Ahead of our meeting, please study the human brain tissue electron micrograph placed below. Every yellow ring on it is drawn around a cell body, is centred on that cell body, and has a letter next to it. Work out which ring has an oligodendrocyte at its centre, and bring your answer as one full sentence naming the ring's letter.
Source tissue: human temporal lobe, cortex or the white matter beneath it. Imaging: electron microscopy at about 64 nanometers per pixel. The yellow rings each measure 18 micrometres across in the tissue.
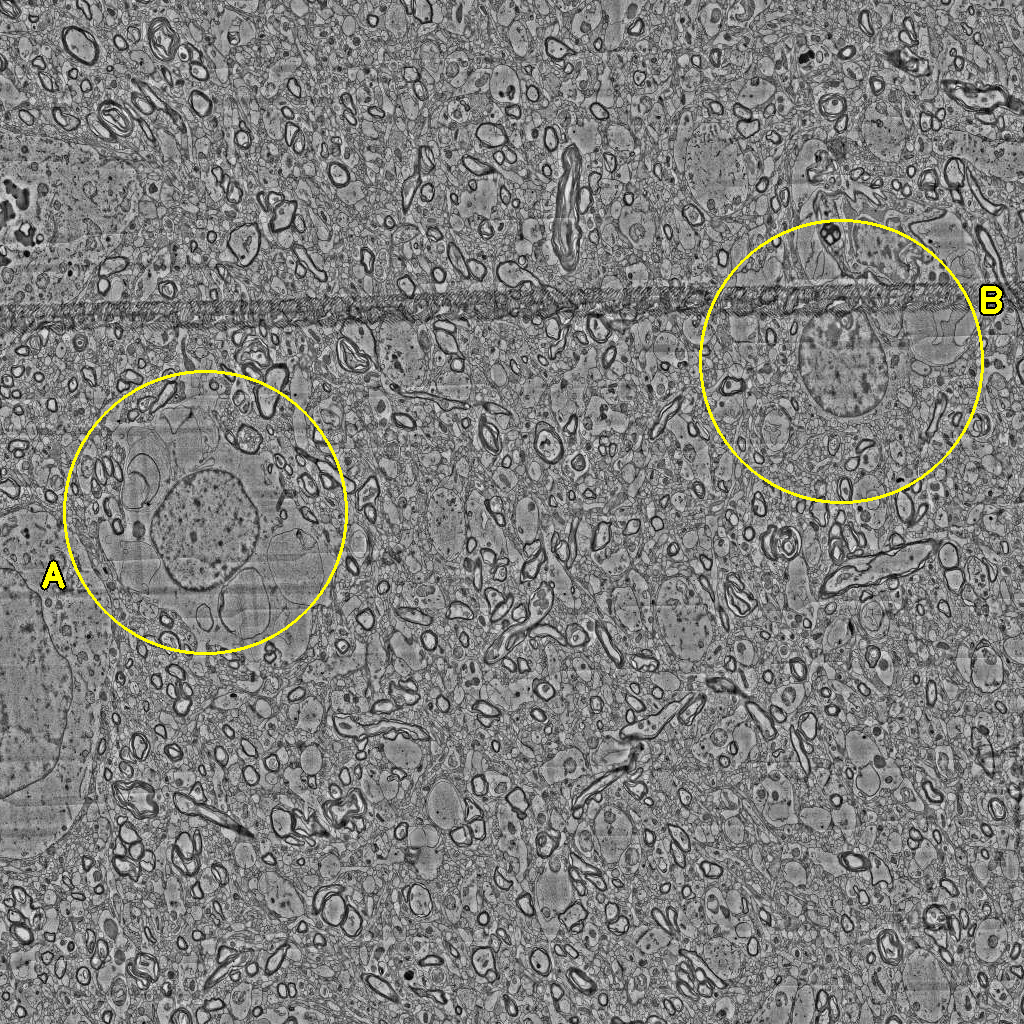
In the micrograph, ring B is the one centred on the cell I was asked to find.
